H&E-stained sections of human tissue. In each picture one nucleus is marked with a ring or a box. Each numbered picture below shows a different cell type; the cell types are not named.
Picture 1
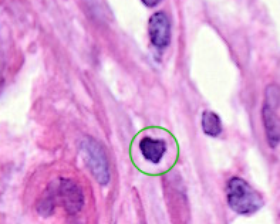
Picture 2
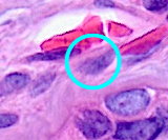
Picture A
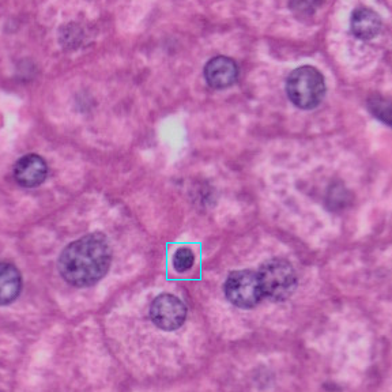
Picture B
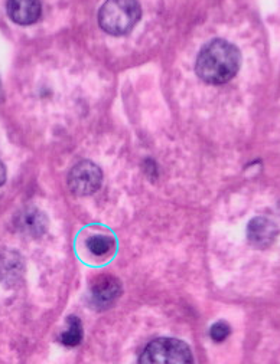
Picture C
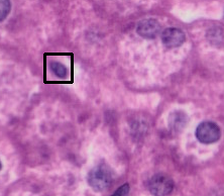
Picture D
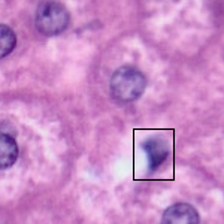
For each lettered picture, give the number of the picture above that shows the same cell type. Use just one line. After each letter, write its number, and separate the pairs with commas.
A 1, B 1, C 1, D 2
